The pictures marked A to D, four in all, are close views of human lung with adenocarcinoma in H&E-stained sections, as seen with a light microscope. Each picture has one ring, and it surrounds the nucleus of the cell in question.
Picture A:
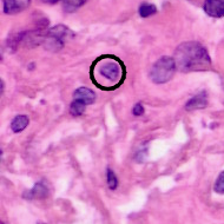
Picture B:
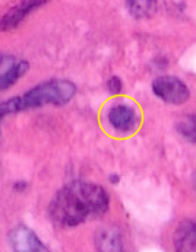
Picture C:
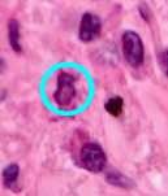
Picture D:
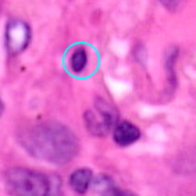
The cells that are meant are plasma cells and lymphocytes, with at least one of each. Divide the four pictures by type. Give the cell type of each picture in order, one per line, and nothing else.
lymphocyte
lymphocyte
plasma cell
lymphocyte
